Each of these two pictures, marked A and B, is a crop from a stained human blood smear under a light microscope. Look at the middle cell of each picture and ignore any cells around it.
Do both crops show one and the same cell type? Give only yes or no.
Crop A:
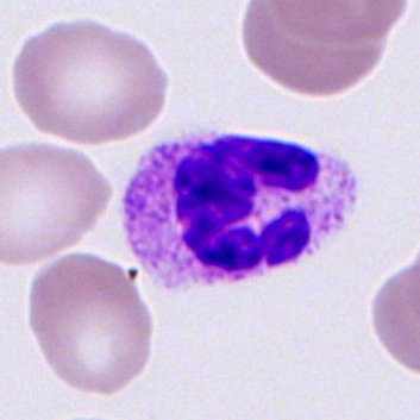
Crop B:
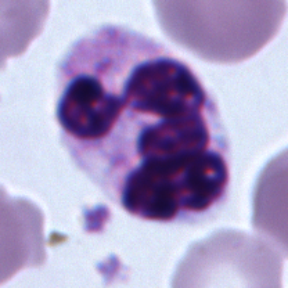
yes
